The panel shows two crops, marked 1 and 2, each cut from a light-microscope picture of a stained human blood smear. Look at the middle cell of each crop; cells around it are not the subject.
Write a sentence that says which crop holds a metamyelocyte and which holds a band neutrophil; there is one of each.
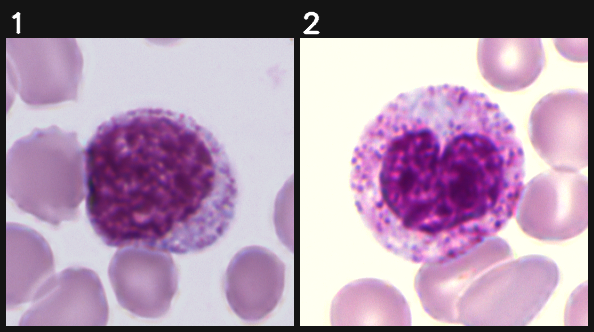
Okay, so crop 1 is a metamyelocyte and crop 2 is a band neutrophil.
